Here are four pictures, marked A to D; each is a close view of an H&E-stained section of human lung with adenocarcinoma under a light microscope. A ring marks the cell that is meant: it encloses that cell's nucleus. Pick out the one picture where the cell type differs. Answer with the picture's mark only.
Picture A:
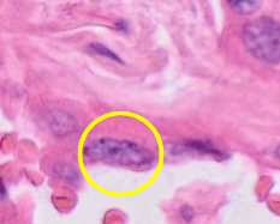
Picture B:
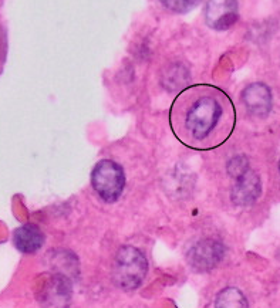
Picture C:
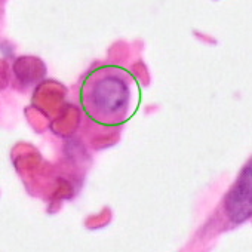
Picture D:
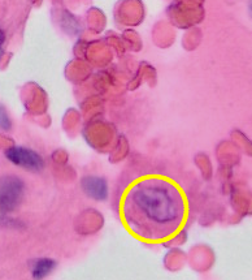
A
